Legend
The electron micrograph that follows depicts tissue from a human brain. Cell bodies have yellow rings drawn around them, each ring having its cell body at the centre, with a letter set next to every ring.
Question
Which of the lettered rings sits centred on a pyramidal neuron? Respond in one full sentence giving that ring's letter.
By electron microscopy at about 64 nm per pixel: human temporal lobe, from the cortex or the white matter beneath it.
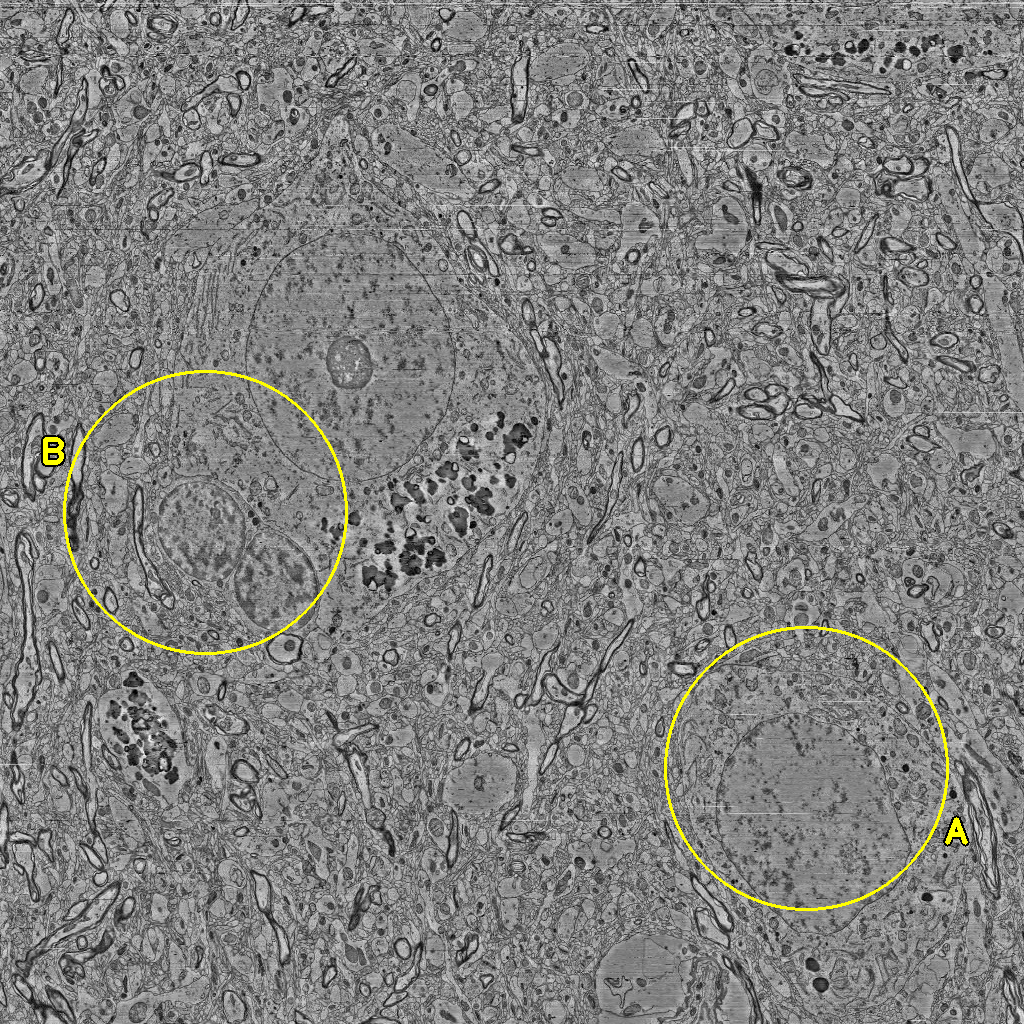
The letter A belongs to the ring centred on the cell asked about in the micrograph.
